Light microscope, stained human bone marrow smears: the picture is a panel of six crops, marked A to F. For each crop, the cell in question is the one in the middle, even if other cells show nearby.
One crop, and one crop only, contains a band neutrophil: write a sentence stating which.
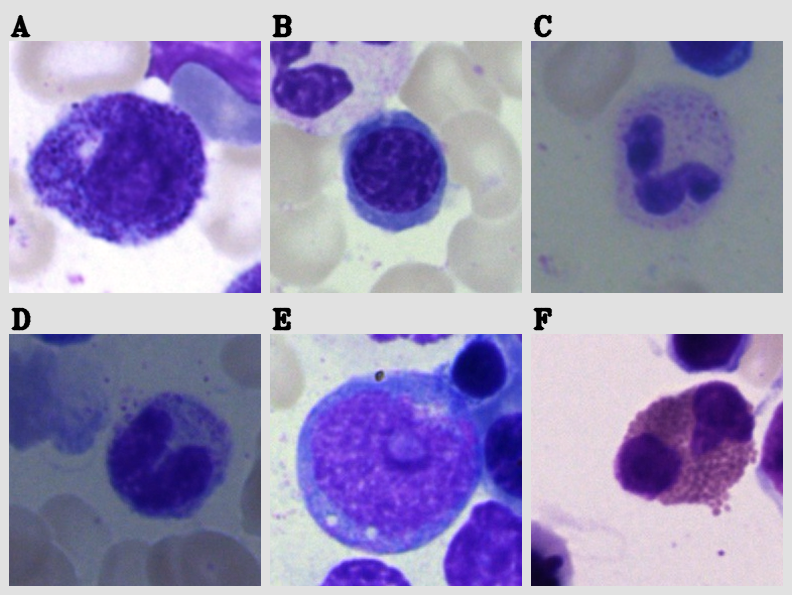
In this series, a band neutrophil is shown by crop D.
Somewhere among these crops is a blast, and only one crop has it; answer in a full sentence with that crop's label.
When the crops are compared, crop E is the one showing a blast.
